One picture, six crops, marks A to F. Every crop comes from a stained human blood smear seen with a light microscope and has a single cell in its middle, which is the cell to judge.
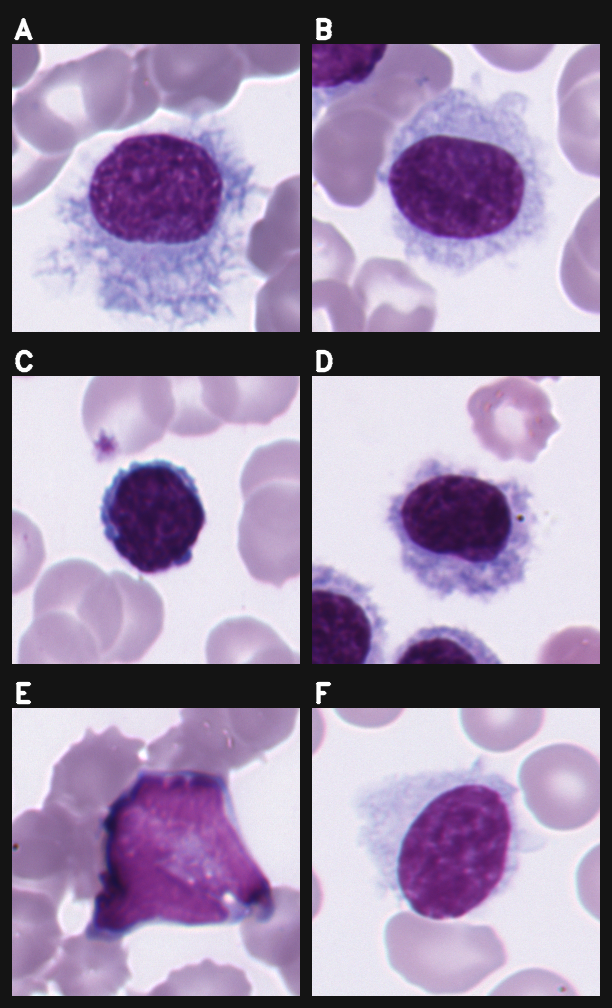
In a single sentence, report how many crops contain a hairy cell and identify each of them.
Crops A, B, D and F depict hairy cells, and these four crops are the only ones that do.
